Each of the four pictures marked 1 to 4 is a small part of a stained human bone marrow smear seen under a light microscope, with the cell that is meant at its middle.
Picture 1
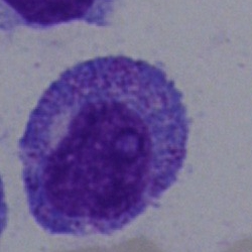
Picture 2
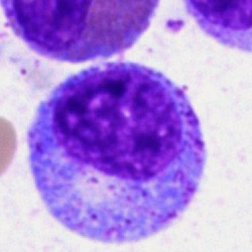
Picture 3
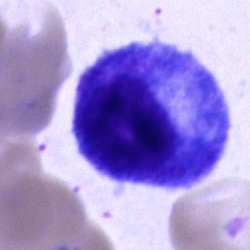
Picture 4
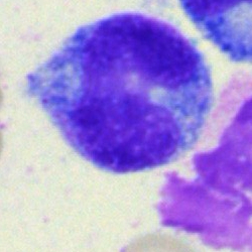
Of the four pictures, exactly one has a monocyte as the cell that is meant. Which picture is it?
4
